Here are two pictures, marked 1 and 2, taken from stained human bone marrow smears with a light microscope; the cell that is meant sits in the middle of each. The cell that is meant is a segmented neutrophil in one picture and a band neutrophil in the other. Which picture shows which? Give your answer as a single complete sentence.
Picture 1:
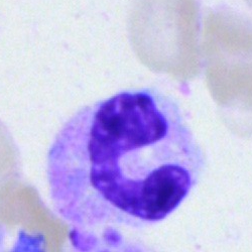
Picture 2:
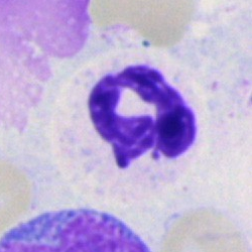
In picture 1 the cell is a band neutrophil; in picture 2, a segmented neutrophil.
